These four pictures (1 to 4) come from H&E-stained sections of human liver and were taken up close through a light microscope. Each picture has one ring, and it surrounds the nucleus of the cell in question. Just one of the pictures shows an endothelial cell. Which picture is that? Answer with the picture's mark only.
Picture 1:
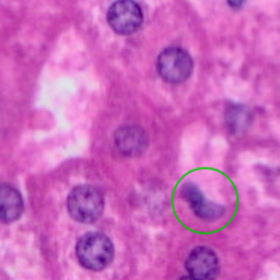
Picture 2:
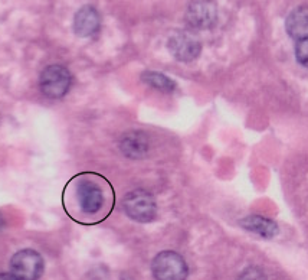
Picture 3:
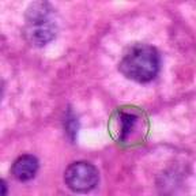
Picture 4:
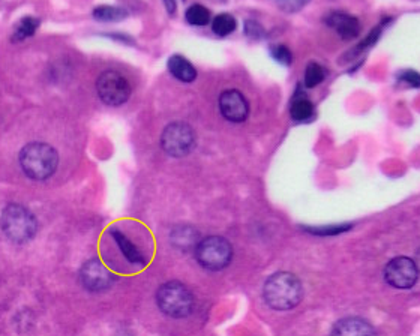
1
